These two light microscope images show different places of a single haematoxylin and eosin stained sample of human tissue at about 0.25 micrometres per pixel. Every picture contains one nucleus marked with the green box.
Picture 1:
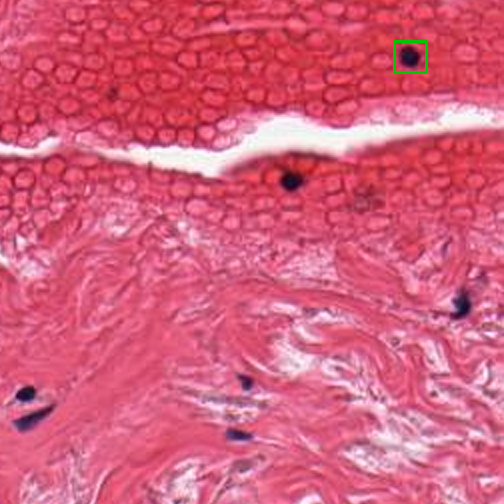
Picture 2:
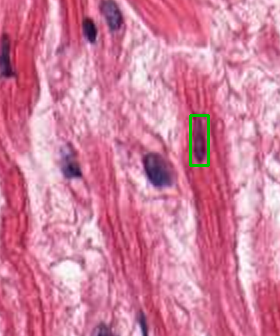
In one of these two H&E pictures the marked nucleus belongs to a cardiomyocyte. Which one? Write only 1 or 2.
2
